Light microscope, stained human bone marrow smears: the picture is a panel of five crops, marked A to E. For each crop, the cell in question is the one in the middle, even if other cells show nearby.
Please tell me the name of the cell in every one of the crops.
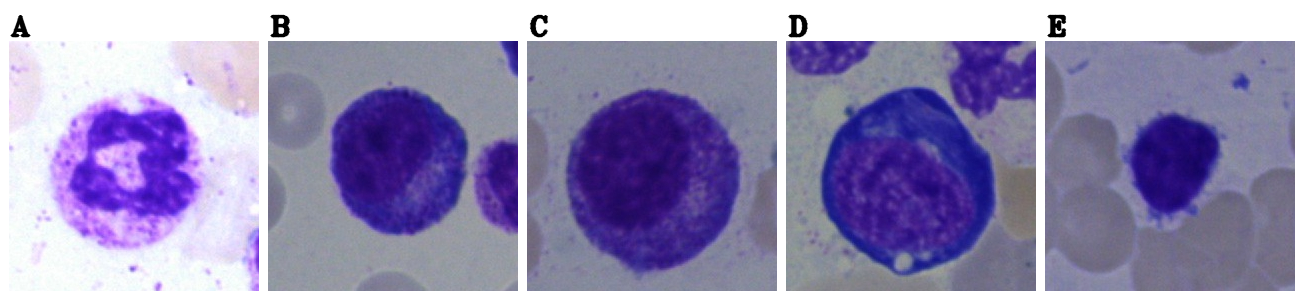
A: segmented neutrophil
B: promyelocyte
C: promyelocyte
D: proerythroblast
E: lymphocyte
